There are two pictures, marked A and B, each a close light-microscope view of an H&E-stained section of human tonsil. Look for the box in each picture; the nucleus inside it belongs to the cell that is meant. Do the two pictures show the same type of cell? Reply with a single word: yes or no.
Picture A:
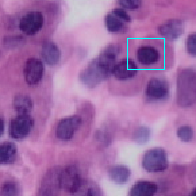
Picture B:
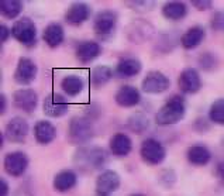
no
